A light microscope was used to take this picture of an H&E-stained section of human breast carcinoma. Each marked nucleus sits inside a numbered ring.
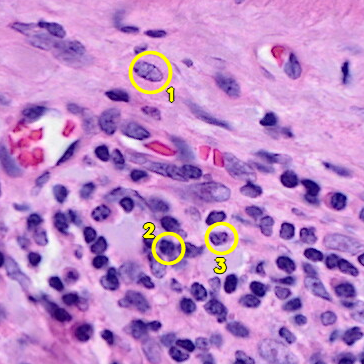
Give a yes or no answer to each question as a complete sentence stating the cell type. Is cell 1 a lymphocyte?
No, cell 1 is identified not as a lymphocyte but as a mast cell.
